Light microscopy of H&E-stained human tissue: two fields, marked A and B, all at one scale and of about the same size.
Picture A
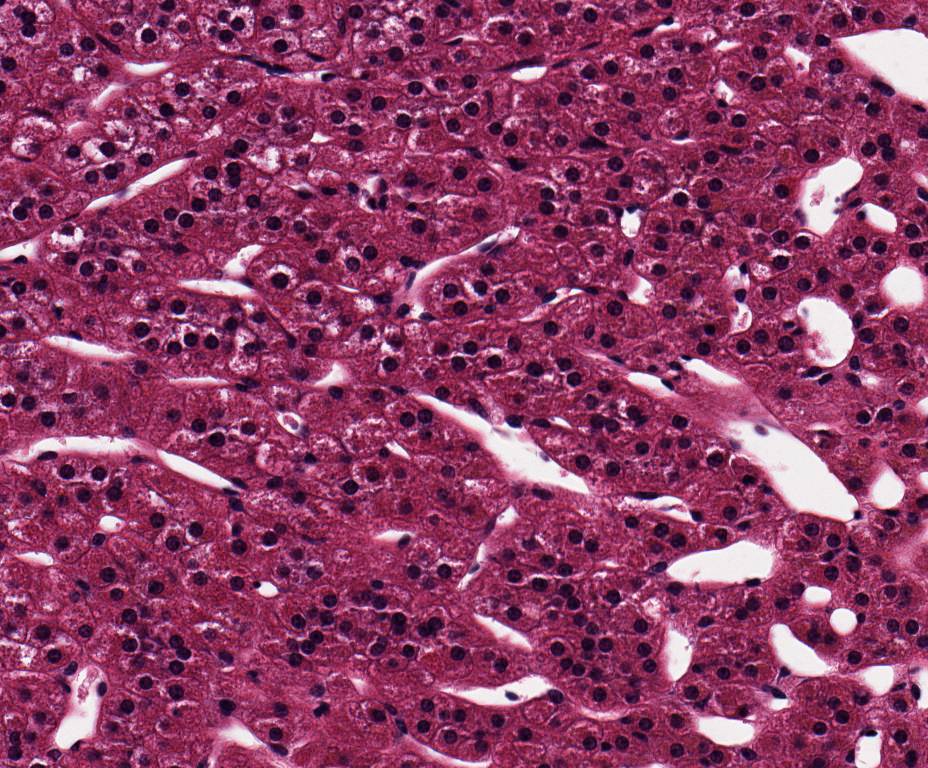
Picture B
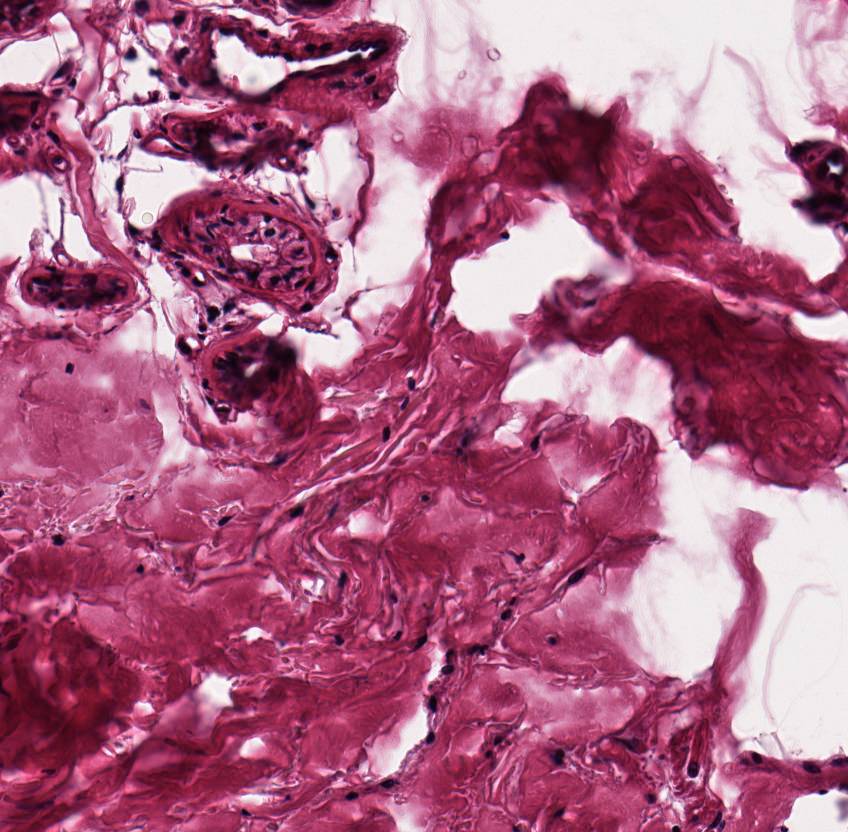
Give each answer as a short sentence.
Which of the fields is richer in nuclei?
Picture A holds more nuclei than picture B.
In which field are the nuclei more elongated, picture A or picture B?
It is picture B whose nuclei are the more elongated.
